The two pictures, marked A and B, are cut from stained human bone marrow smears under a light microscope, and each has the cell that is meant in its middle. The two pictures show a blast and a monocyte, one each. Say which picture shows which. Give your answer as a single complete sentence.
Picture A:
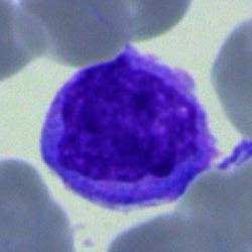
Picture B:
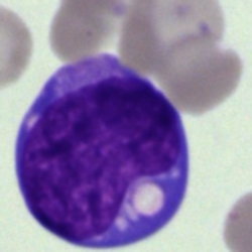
In picture A the cell is a monocyte; in picture B, a blast.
